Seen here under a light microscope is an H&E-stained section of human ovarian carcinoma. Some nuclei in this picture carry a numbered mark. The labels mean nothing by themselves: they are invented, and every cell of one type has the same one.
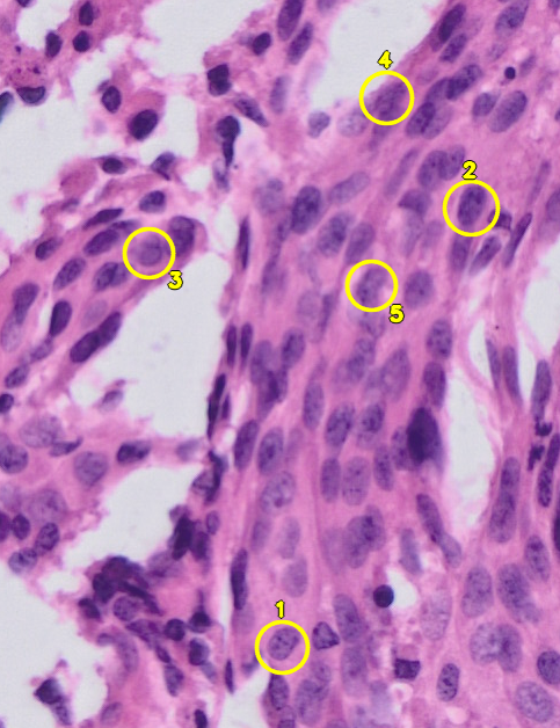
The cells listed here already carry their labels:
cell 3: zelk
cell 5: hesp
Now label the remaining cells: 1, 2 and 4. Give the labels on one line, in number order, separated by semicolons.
hesp; zelk; zelk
